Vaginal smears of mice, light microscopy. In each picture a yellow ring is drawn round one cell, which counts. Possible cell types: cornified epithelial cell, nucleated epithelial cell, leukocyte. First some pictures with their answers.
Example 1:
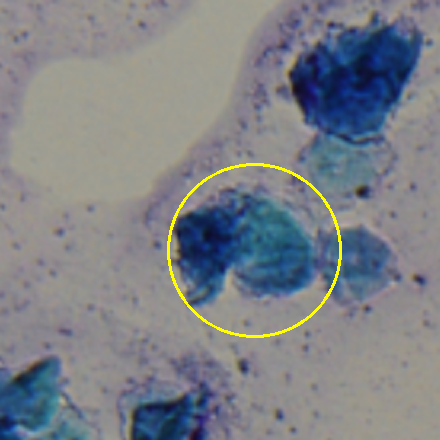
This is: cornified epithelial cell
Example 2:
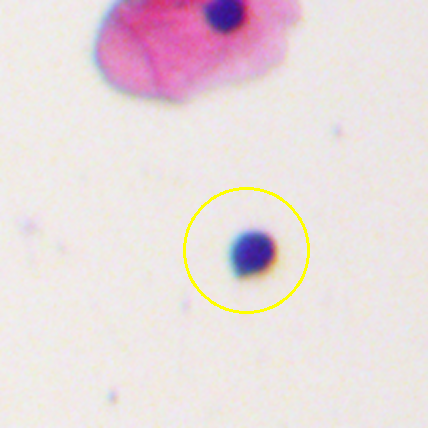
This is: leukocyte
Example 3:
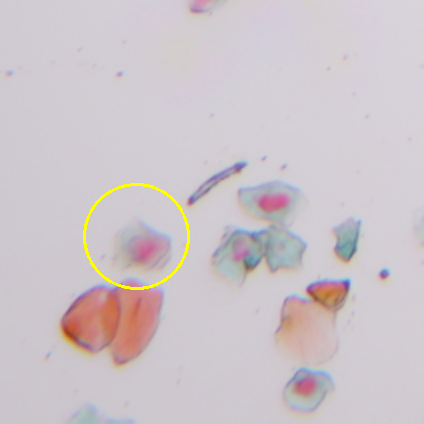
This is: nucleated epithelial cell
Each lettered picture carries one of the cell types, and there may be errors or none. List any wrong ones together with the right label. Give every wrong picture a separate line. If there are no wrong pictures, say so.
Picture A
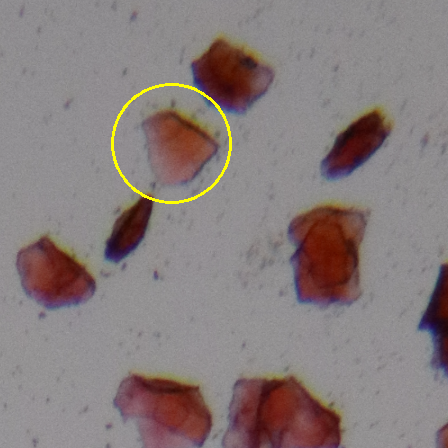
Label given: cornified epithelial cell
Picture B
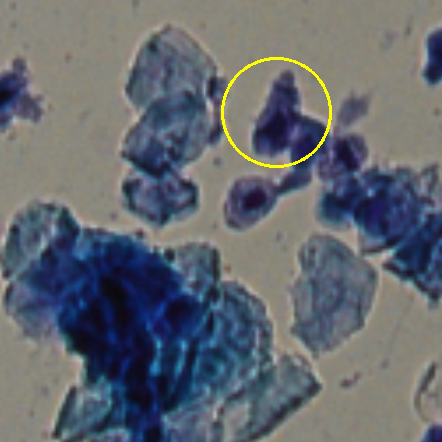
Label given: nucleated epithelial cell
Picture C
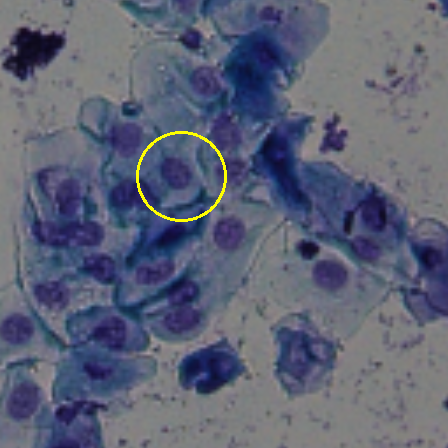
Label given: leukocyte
C should be nucleated epithelial cell, not leukocyte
